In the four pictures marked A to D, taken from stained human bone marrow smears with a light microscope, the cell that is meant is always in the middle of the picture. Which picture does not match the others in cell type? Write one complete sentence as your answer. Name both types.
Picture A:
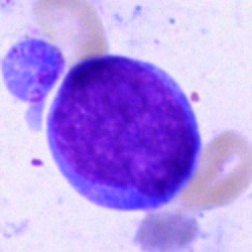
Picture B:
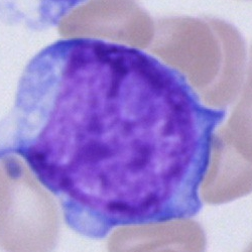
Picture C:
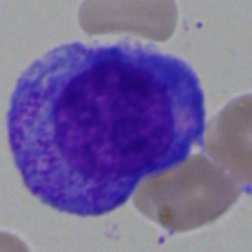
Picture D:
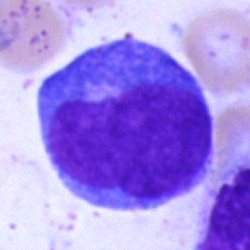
Picture C differs, because its cell is a promyelocyte and the rest are blasts.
